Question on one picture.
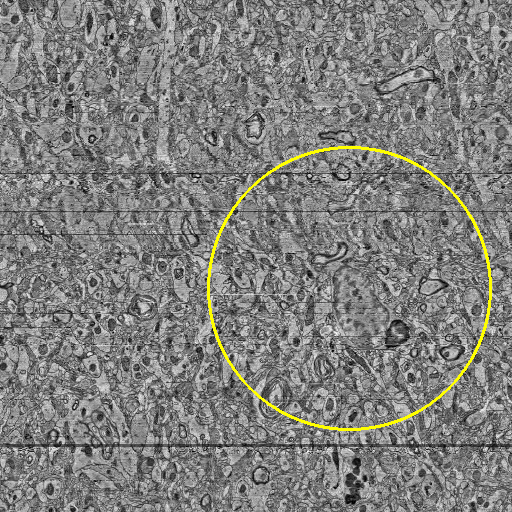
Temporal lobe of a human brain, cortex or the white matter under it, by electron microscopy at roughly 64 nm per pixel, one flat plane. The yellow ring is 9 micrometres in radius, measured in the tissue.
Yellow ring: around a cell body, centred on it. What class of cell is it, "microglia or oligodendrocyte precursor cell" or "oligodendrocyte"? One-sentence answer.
This is an oligodendrocyte, the cell the ring is centred on.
